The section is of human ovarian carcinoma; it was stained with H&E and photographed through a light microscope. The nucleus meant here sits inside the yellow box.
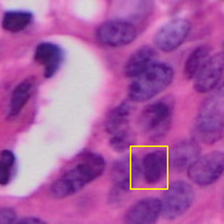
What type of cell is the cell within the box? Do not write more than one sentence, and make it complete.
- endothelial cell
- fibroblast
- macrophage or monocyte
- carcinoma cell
Recorded by type, the cell within the box is a carcinoma cell.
